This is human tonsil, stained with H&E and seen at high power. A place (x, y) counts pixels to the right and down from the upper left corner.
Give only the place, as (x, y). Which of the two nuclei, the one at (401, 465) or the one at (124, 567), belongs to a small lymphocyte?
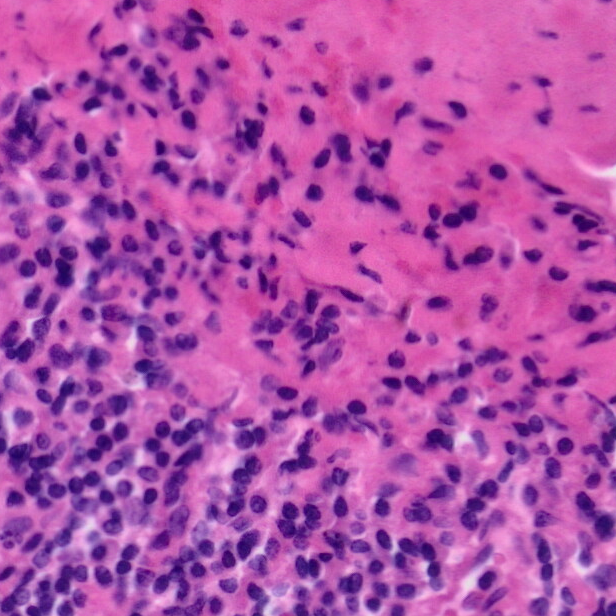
(124, 567)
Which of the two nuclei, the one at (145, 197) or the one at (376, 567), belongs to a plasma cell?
(376, 567)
